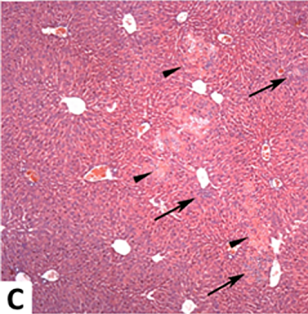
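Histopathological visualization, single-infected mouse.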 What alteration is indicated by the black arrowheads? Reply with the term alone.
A: Necrosis.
